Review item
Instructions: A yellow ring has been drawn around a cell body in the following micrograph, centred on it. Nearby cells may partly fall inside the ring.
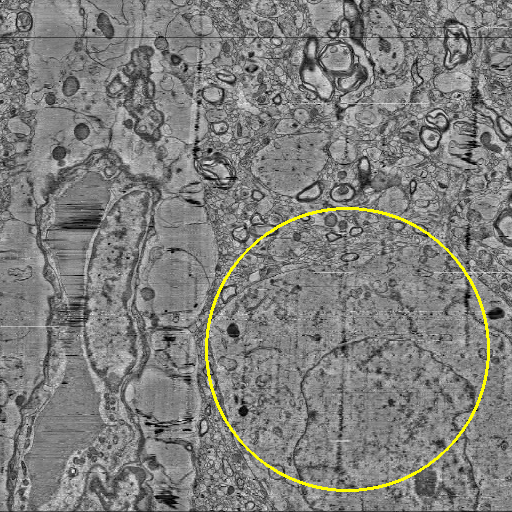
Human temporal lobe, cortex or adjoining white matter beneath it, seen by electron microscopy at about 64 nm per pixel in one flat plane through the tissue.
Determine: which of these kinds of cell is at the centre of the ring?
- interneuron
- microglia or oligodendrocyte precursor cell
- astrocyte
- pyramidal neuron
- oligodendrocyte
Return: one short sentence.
The cell body in the middle of the ring is that of a pyramidal neuron.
